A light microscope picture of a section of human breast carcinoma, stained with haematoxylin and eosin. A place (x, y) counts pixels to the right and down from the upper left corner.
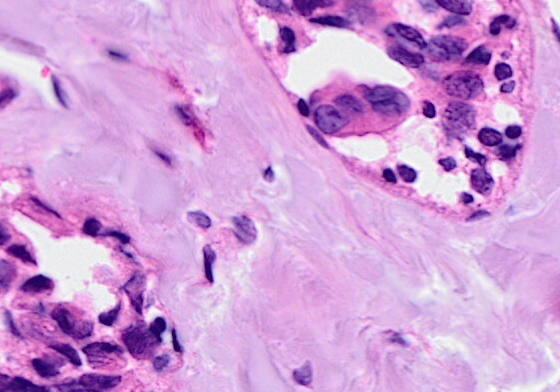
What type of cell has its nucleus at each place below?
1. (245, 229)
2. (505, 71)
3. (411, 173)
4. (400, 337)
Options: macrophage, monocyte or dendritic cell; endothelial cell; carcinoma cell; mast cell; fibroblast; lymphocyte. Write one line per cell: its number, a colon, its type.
1: fibroblast
2: lymphocyte
3: lymphocyte
4: fibroblast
